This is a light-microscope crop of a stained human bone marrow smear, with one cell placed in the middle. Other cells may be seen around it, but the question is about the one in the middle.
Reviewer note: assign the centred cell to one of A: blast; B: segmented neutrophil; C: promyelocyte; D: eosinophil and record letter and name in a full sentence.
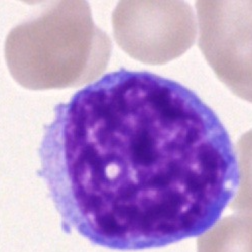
Option A is the right choice, the central cell being a blast.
